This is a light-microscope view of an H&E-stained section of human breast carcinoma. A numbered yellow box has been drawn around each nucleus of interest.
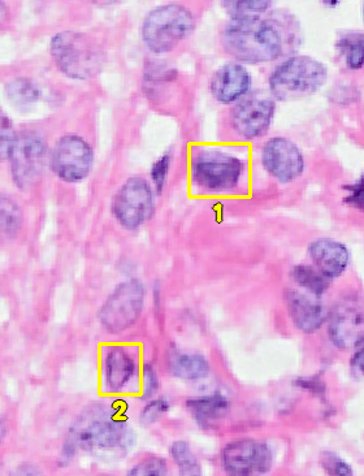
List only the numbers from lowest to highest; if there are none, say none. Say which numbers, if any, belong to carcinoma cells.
1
